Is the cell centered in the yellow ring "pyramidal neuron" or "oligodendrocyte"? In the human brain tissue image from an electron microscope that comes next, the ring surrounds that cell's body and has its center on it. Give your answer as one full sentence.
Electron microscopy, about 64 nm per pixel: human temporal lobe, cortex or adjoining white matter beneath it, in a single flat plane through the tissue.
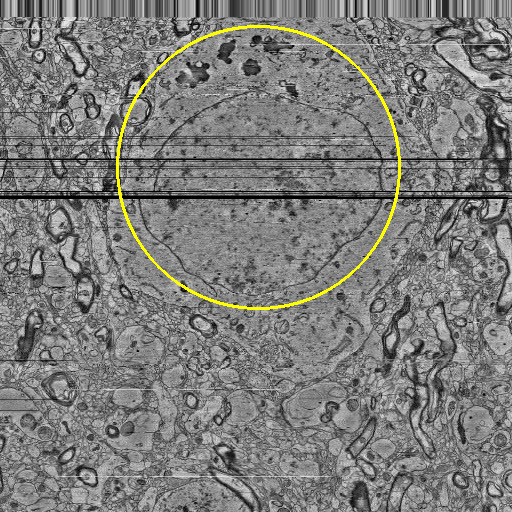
The cell at the center of the yellow ring is a pyramidal neuron in the micrograph.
